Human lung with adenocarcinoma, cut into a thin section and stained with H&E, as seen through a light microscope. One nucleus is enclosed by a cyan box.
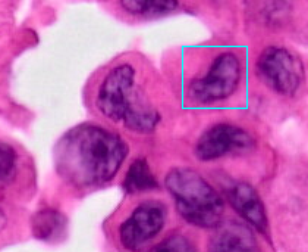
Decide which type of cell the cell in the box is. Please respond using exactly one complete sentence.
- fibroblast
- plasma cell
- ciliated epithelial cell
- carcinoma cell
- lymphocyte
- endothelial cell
The category to which the cell in the box belongs is that of a carcinoma cell.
